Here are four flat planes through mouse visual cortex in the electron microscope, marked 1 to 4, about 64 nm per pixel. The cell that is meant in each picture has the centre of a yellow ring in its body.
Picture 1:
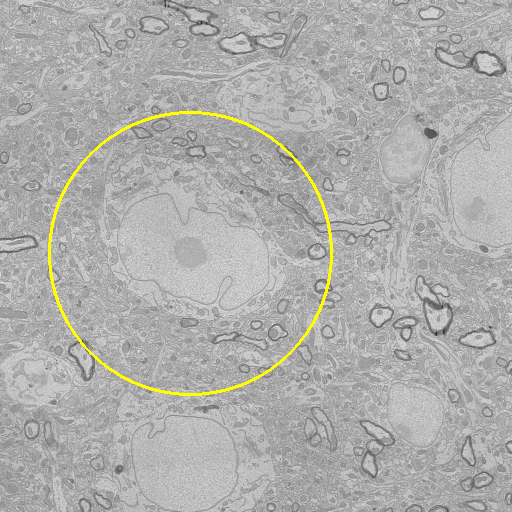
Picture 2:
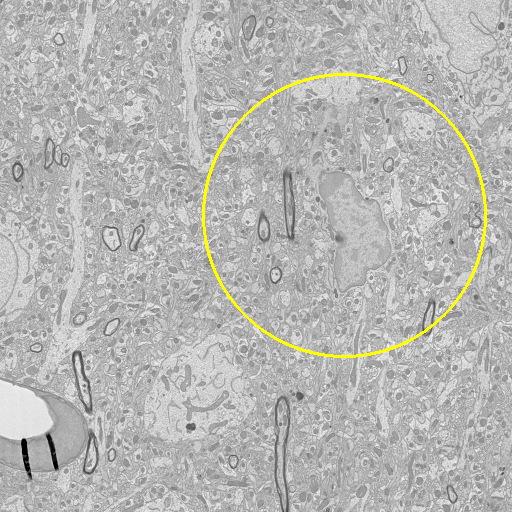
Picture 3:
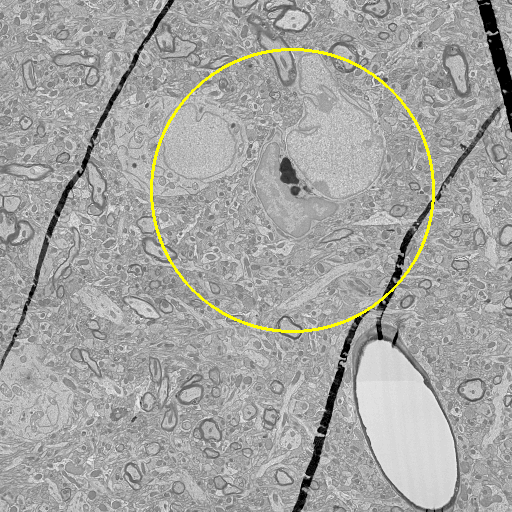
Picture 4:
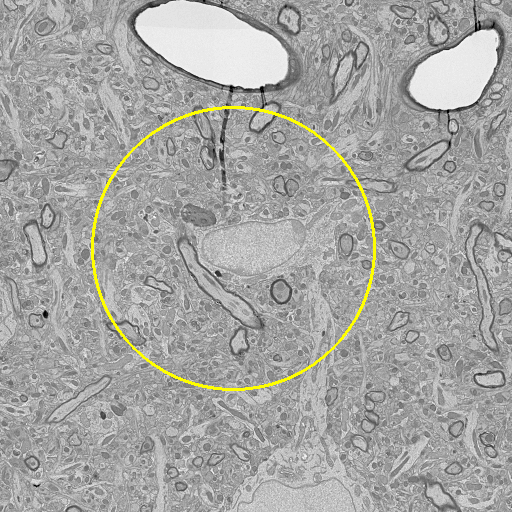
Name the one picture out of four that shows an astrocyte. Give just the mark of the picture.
4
